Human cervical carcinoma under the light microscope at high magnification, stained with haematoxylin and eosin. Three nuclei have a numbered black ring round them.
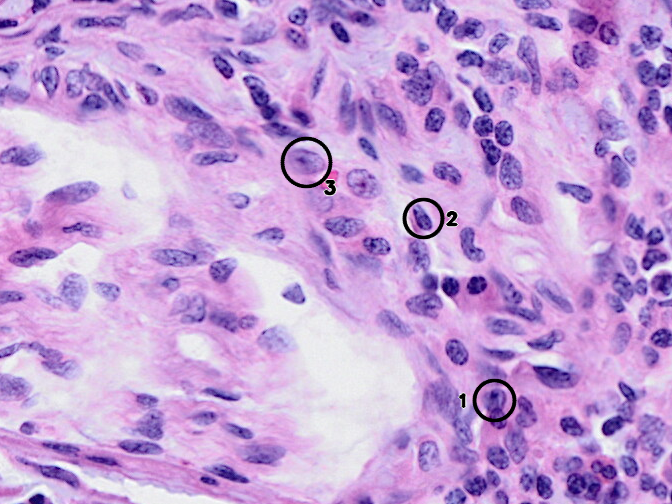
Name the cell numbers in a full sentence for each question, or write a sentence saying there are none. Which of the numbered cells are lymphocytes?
The cells bearing the numbers 1 and 2 are lymphocytes.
